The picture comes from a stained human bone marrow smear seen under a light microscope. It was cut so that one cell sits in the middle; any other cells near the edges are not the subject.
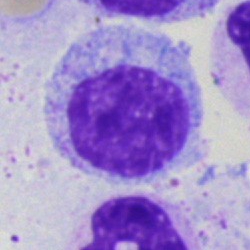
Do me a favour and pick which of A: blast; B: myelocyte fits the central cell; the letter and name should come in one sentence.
Option B is the keyed answer: the cell in the middle is a myelocyte.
